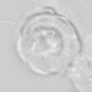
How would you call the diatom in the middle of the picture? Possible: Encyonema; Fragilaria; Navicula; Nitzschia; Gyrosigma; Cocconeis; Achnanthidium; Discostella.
I would call it Discostella.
